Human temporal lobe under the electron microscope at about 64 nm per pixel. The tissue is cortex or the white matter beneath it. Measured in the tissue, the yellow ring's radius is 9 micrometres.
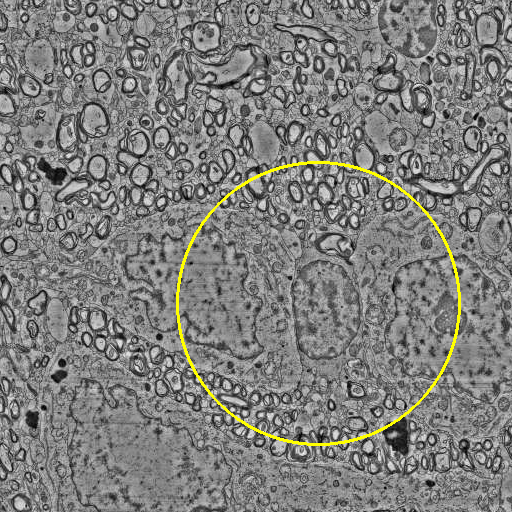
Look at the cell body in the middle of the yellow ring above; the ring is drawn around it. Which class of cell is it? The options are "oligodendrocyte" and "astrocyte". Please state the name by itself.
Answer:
oligodendrocyte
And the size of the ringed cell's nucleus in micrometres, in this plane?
The ringed cell's nucleus measures approximately 6 by 4 micrometres in this plane.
